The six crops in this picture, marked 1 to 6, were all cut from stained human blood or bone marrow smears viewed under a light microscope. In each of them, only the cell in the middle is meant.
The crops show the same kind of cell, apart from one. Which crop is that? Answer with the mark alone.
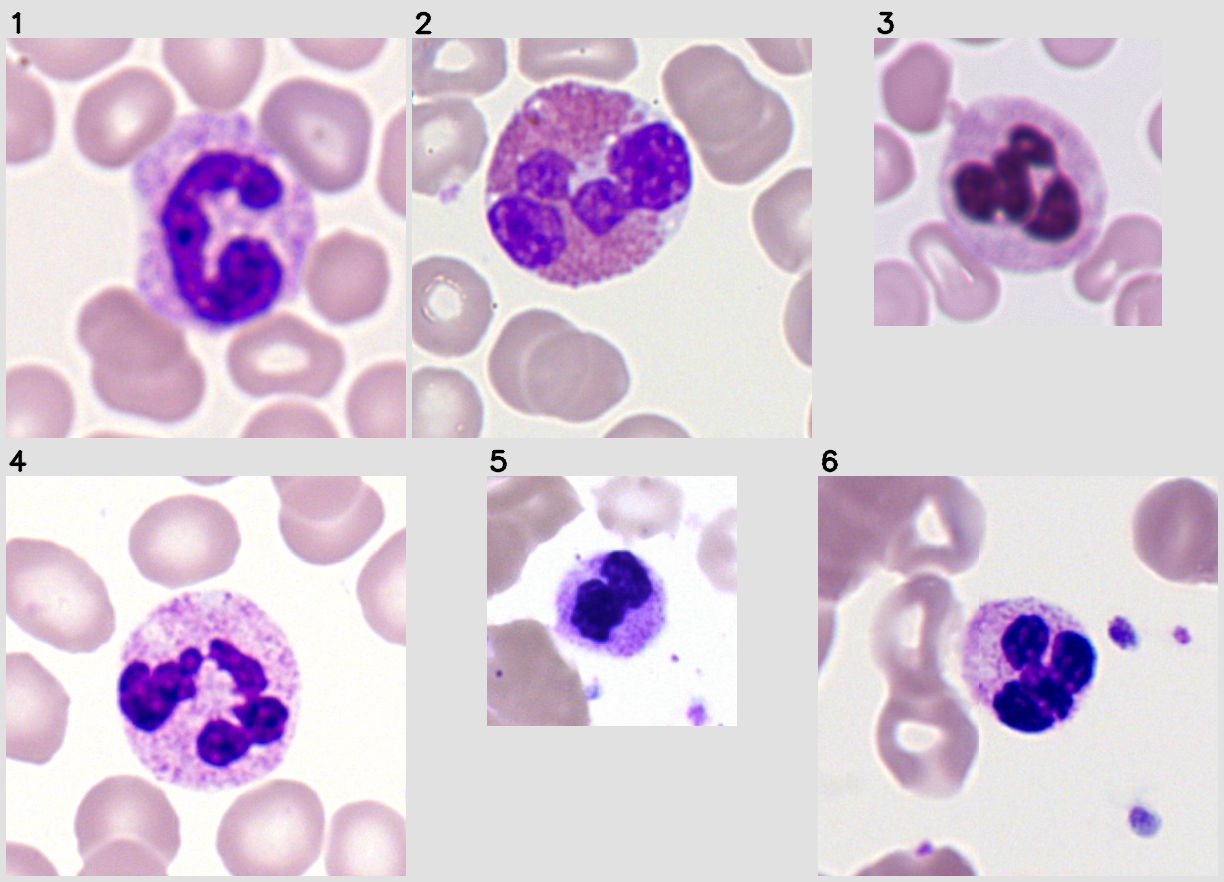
2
